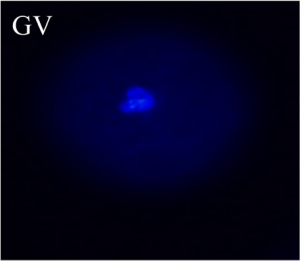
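A single large, round oocyte fills most of the field, its cytoplasm a faint, even blue haze against the dark background. One small, compact cluster of bright blue chromatin lies near the centre of the cell. The cluster is irregular and slightly lobed, not spread into a line. No second chromatin mass is seen anywhere else in the cell. No surrounding cells are attached to the oocyte.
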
